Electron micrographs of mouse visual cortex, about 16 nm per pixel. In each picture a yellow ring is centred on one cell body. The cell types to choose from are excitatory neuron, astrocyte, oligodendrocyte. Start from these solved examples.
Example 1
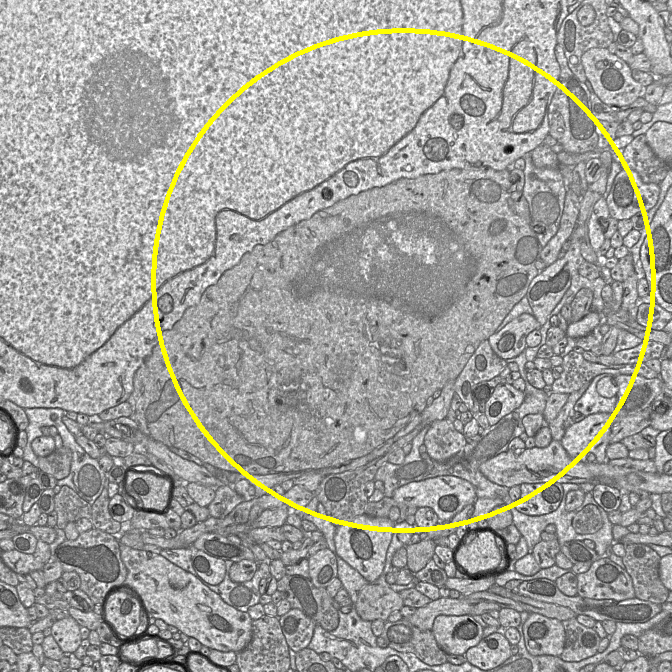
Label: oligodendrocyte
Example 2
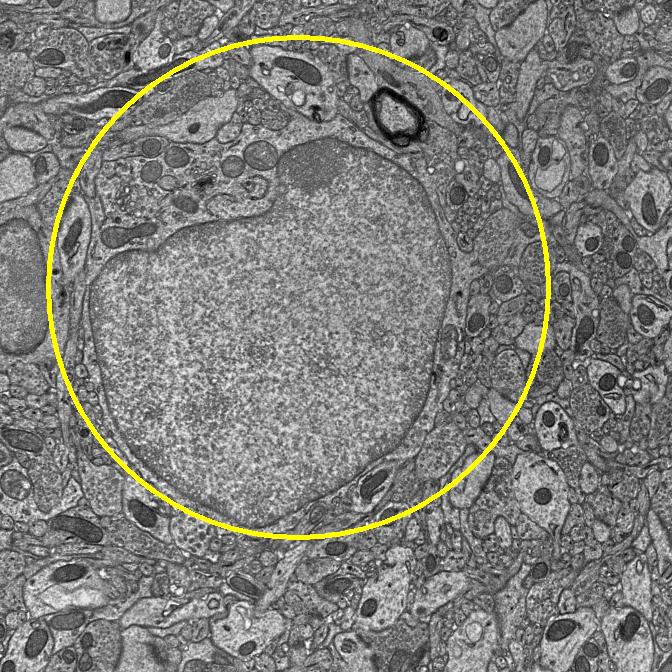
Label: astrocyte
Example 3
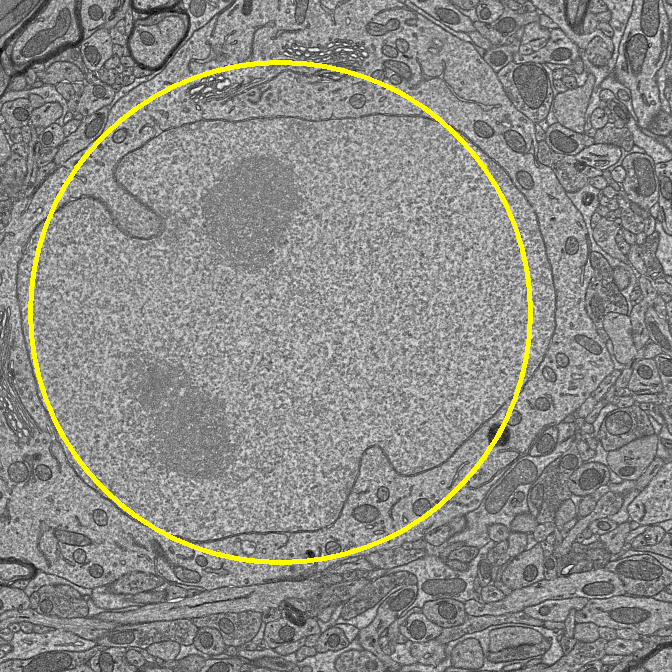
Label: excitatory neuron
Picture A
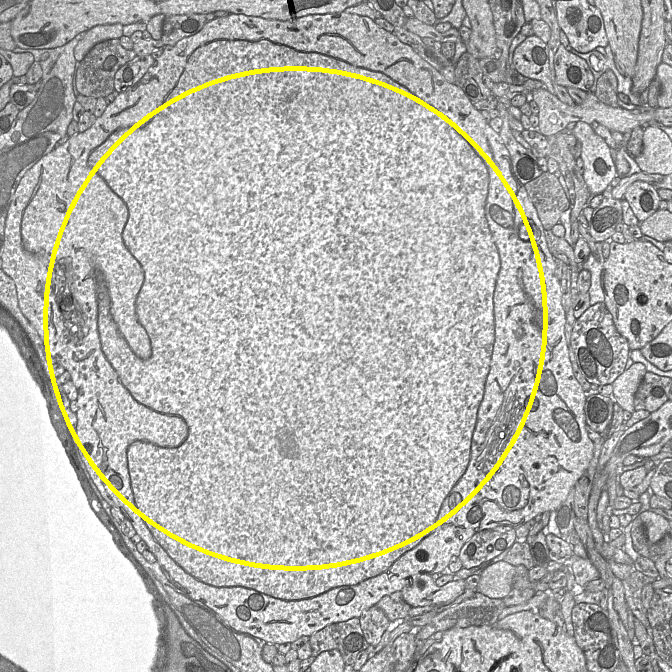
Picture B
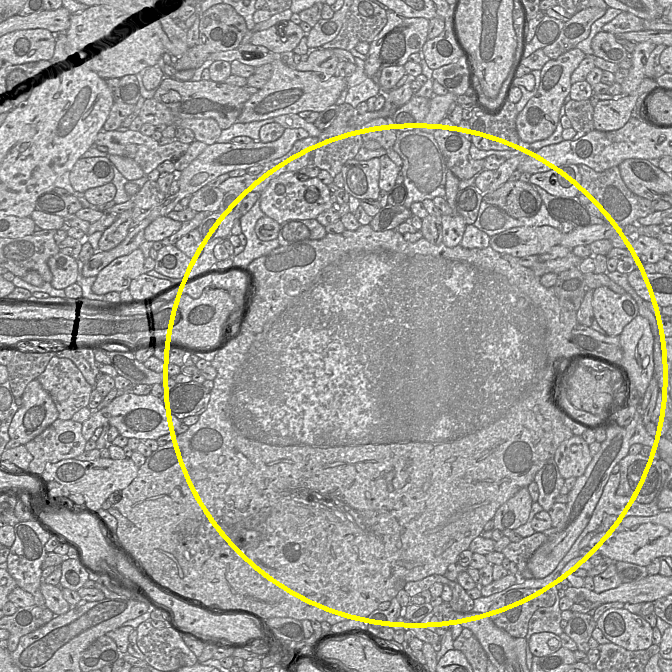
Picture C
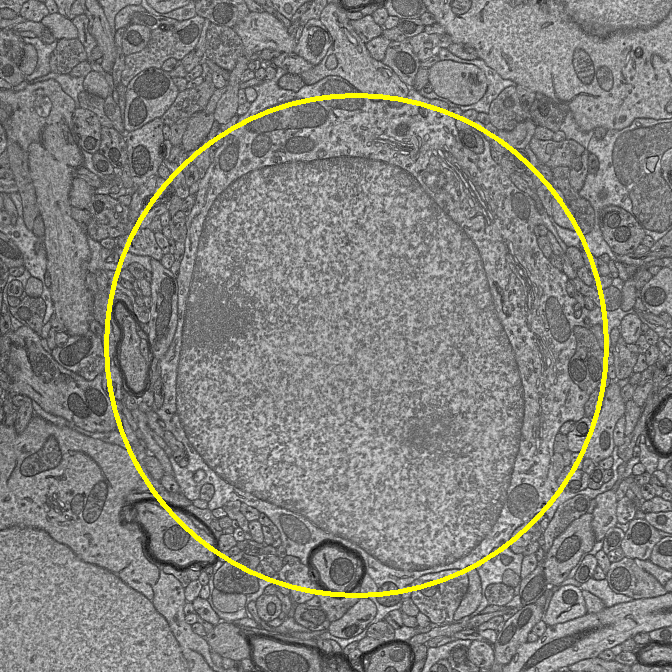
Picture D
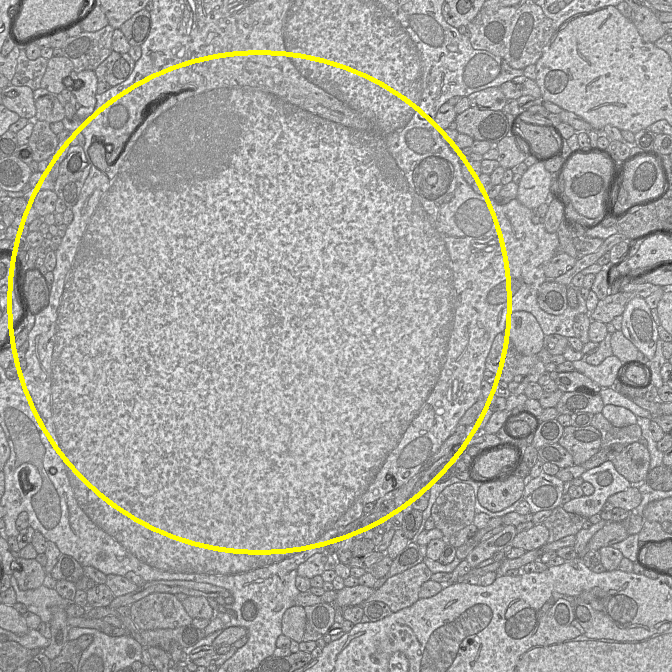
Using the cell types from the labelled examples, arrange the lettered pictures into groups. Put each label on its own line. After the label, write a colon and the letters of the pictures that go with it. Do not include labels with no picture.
excitatory neuron: A
astrocyte: C, D
oligodendrocyte: B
